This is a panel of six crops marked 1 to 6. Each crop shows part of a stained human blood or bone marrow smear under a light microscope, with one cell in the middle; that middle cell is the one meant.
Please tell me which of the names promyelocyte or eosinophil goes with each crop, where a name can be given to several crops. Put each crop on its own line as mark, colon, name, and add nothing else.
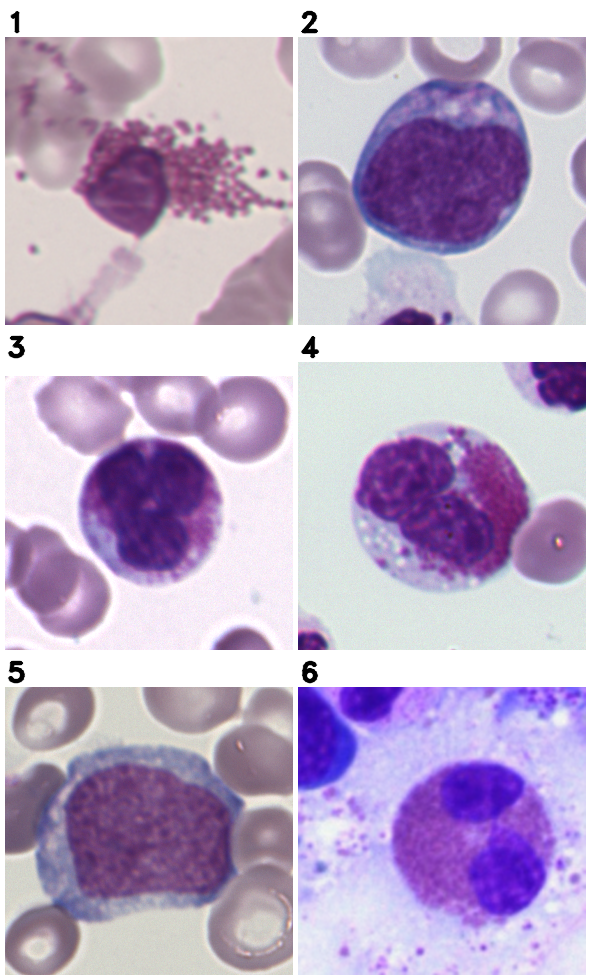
1: eosinophil
2: promyelocyte
3: eosinophil
4: eosinophil
5: promyelocyte
6: eosinophil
